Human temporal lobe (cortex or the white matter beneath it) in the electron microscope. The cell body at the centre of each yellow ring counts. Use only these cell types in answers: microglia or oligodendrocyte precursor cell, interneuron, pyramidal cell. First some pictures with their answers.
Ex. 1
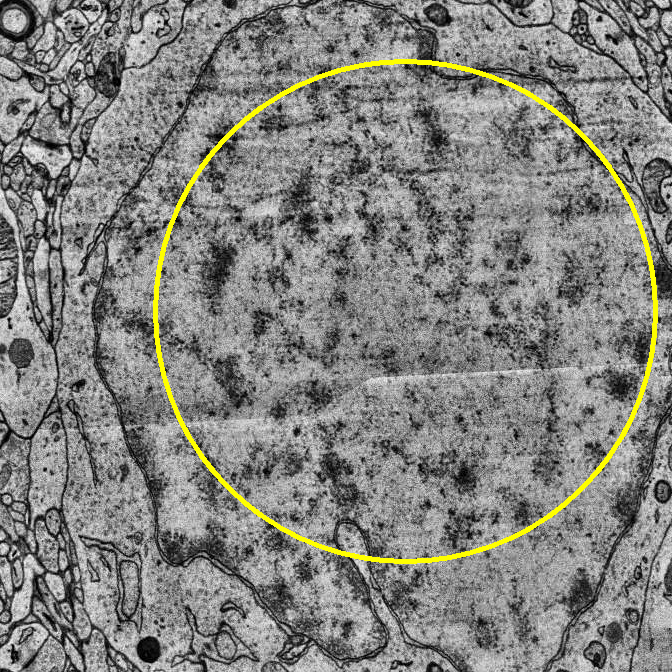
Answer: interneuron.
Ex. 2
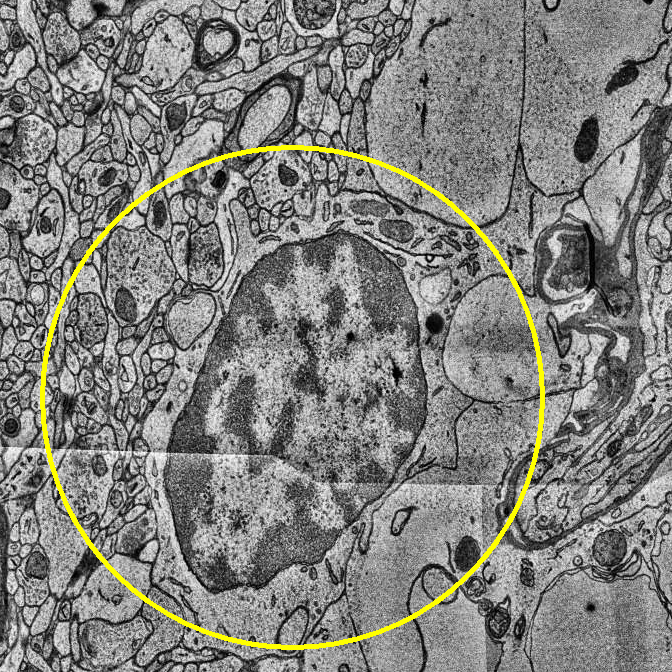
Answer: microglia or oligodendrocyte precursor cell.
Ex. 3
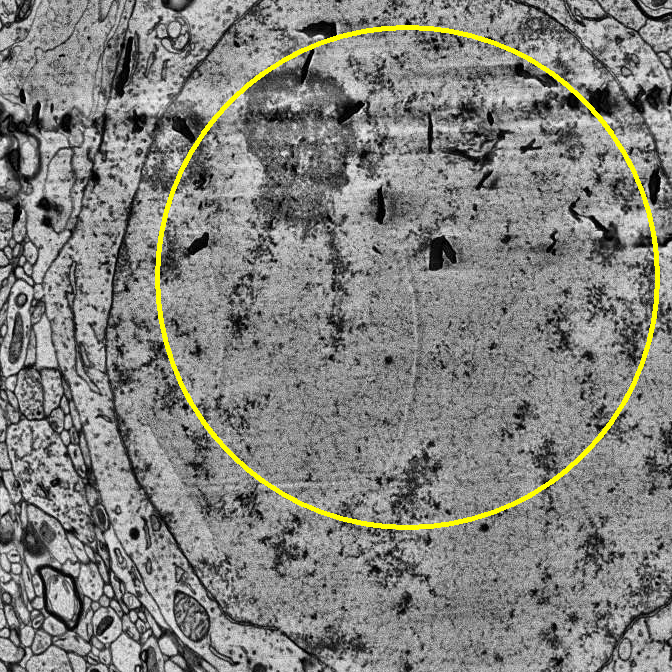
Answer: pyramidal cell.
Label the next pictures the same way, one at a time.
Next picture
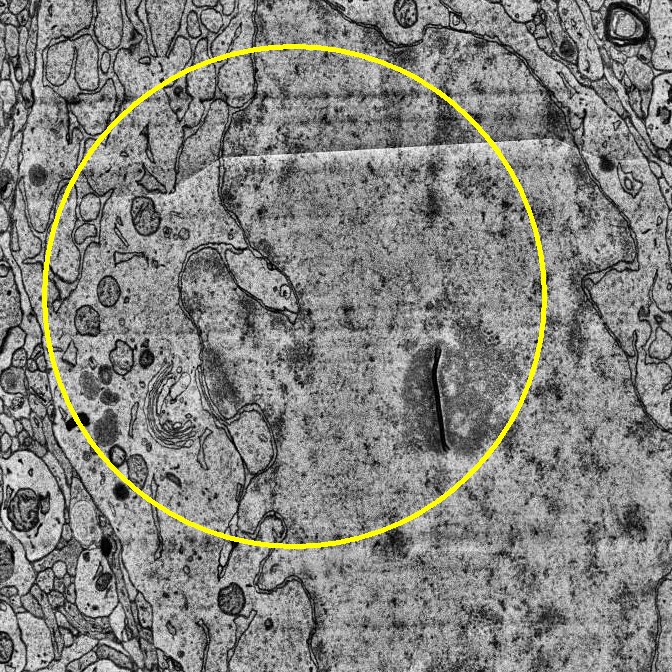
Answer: interneuron.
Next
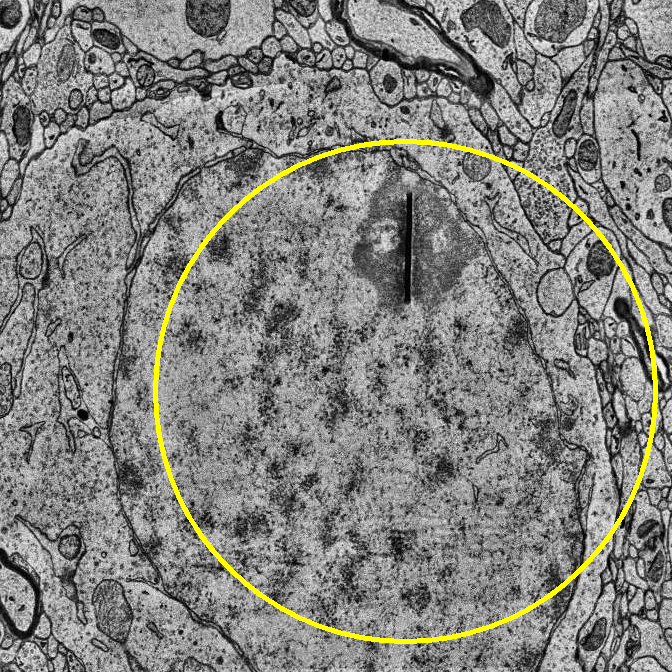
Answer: interneuron.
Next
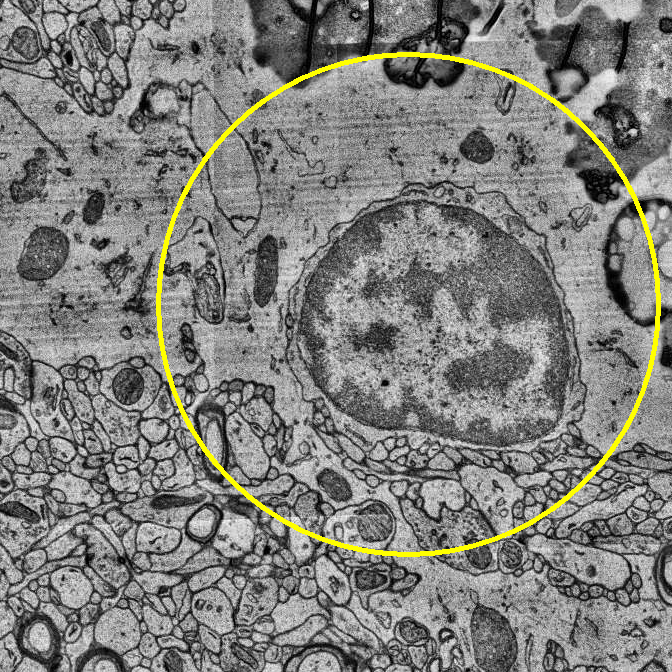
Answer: microglia or oligodendrocyte precursor cell.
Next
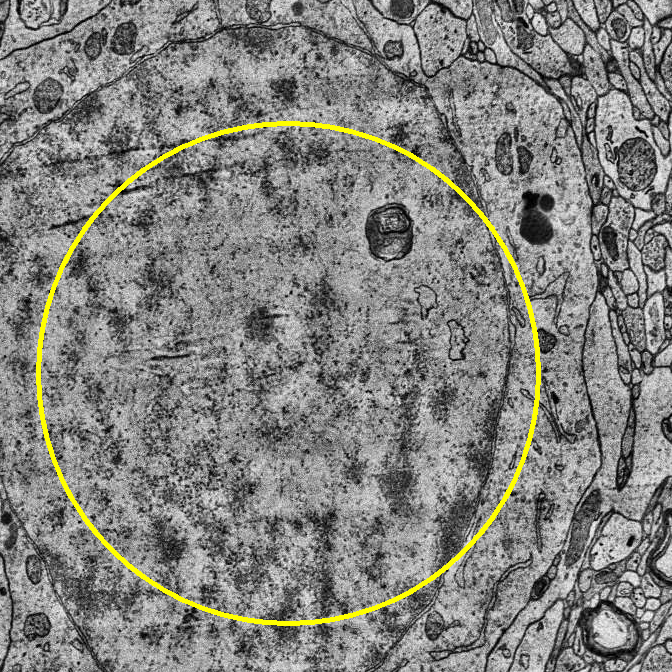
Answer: interneuron.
